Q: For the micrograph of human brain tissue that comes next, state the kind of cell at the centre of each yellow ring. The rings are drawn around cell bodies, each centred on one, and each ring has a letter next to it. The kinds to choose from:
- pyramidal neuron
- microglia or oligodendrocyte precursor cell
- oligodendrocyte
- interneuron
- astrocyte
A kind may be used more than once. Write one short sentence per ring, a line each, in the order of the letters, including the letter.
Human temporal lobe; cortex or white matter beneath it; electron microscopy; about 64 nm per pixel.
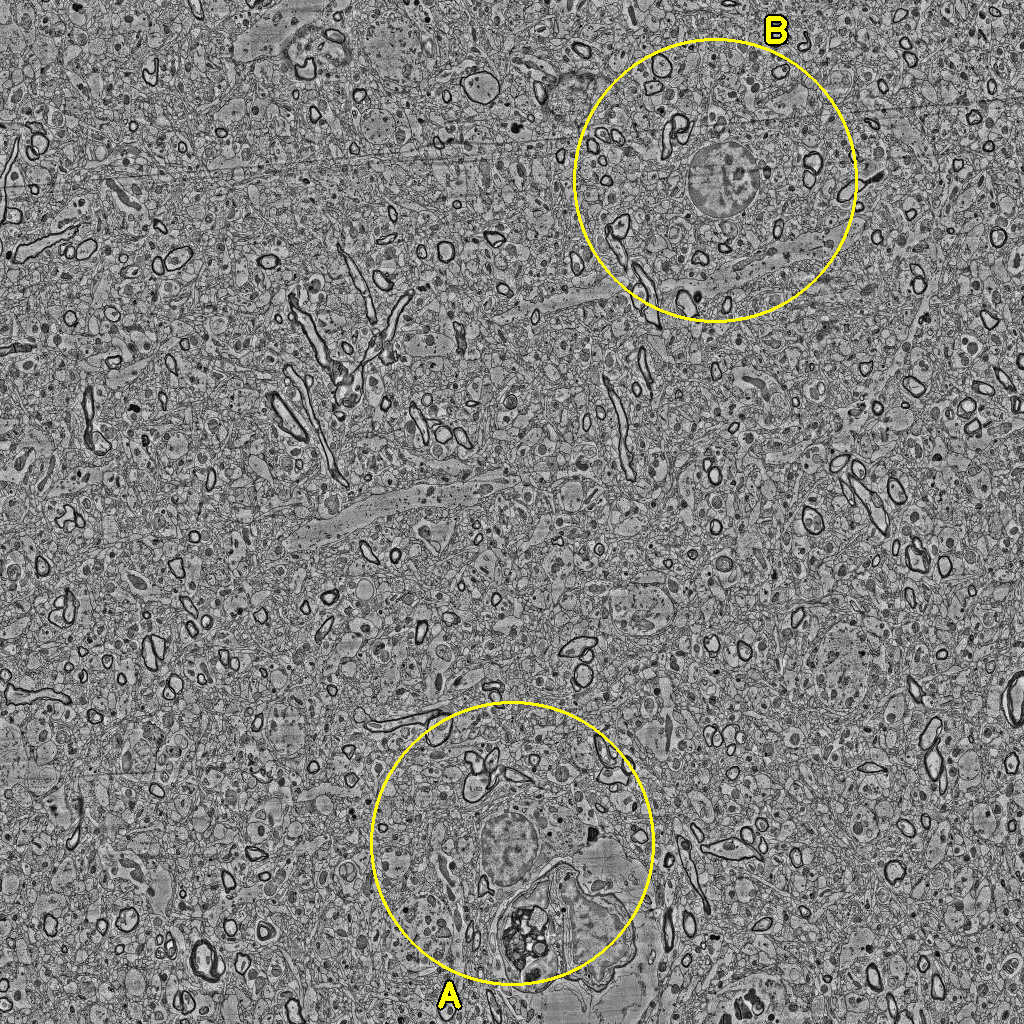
The cell ringed as A is an oligodendrocyte.
The cell ringed as B is a microglial cell or oligodendrocyte precursor cell.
